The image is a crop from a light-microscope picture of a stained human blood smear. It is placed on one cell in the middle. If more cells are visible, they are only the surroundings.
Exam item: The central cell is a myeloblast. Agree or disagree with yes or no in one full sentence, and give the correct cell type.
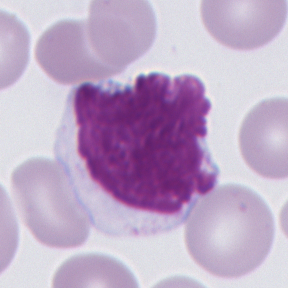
No, the cell in the centre is a smudge cell instead of a myeloblast.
